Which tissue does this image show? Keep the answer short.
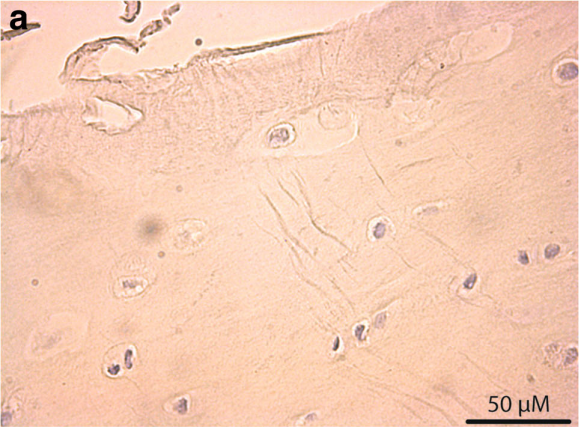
Cartilage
